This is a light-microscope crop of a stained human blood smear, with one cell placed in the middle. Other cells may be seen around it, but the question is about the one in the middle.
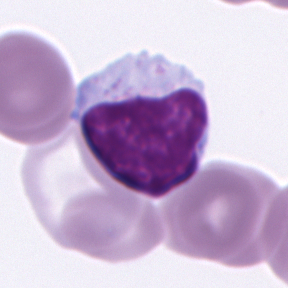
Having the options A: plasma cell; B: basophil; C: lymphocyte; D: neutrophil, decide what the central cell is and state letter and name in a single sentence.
The cell positioned centrally is a lymphocyte, as given in option C, which is correct.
